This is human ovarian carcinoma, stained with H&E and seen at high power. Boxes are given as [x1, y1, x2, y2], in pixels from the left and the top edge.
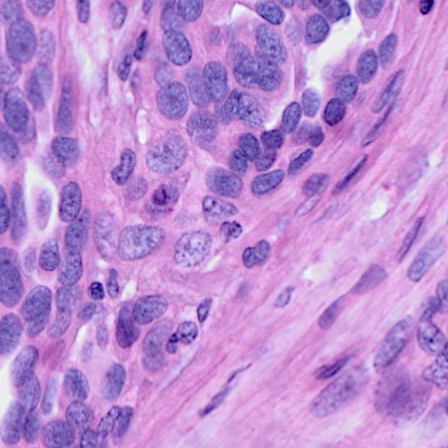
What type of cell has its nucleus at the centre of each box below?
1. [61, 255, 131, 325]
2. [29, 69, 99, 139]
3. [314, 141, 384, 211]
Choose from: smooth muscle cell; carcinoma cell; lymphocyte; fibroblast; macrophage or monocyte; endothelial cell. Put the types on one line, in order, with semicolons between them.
lymphocyte; carcinoma cell; fibroblast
